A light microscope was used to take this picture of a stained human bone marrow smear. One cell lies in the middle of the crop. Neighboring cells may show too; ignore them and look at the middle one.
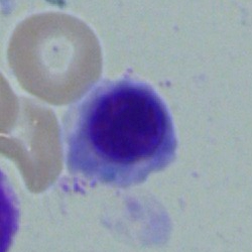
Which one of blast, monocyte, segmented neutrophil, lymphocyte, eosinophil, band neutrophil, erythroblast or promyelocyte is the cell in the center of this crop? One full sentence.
Seen at the centre of the crop is an erythroblast.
